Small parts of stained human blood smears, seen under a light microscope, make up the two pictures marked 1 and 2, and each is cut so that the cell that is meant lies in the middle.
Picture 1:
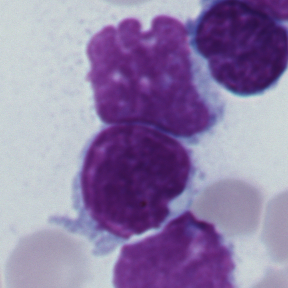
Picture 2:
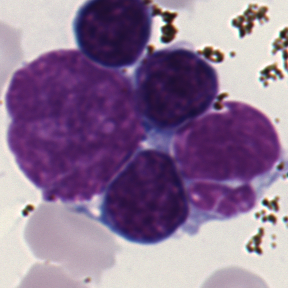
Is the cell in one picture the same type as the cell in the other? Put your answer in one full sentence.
Yes; the cells in both pictures are myeloblasts.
